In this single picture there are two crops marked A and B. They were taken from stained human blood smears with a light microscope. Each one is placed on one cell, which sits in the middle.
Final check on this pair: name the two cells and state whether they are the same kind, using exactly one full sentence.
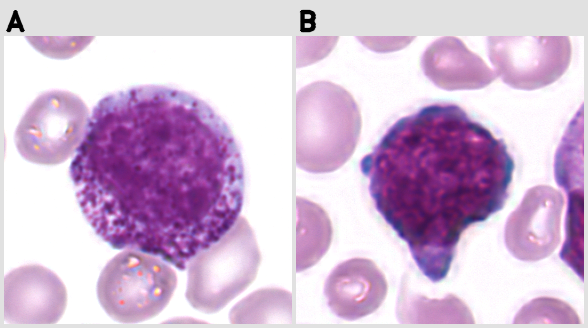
No, in fact crop A shows a myelocyte, and crop B shows an atypical promyelocyte.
